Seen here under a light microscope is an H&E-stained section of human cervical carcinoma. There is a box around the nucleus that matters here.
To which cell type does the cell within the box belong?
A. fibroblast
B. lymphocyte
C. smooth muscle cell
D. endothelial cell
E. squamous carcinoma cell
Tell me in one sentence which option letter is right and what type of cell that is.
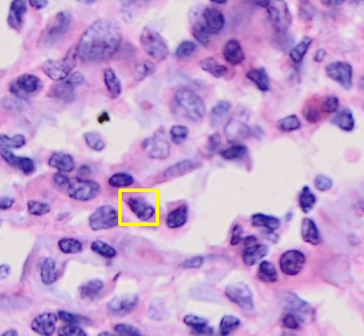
The correct choice is option B; the cell within the box is a lymphocyte.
